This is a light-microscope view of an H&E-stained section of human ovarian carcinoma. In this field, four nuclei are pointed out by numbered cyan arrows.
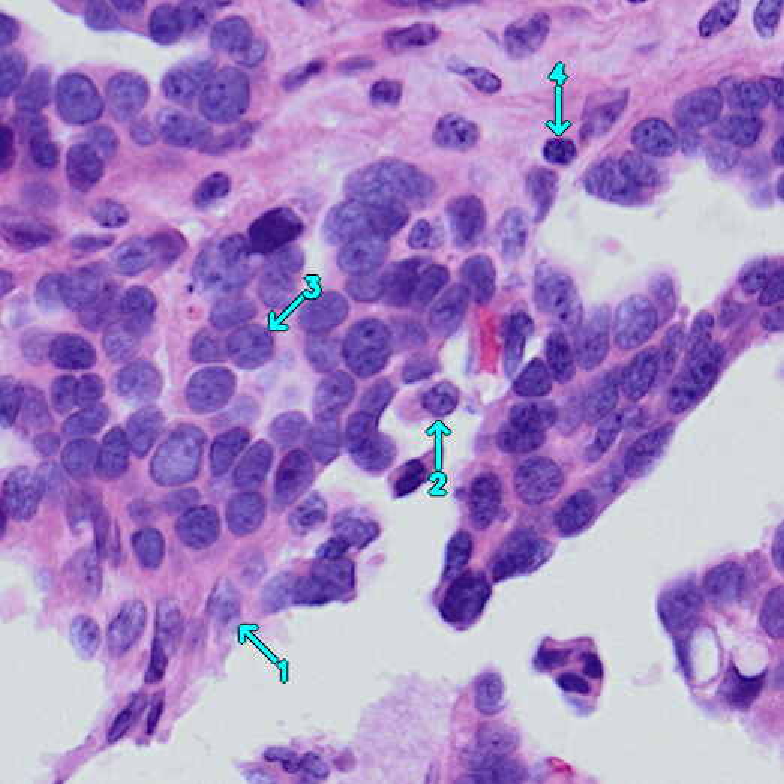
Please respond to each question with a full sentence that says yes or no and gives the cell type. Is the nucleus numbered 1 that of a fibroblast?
Yes, the cell indicated by number 1 is a fibroblast.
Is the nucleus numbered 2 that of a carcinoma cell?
No, the cell bearing the number 2 is a macrophage or monocyte, not a carcinoma cell.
